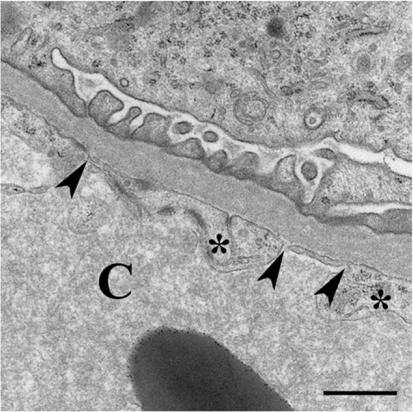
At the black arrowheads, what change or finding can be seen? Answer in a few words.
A: decreased fenestration of the glomerular endothelium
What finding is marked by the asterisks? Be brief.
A: Endothelial cell swelling.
